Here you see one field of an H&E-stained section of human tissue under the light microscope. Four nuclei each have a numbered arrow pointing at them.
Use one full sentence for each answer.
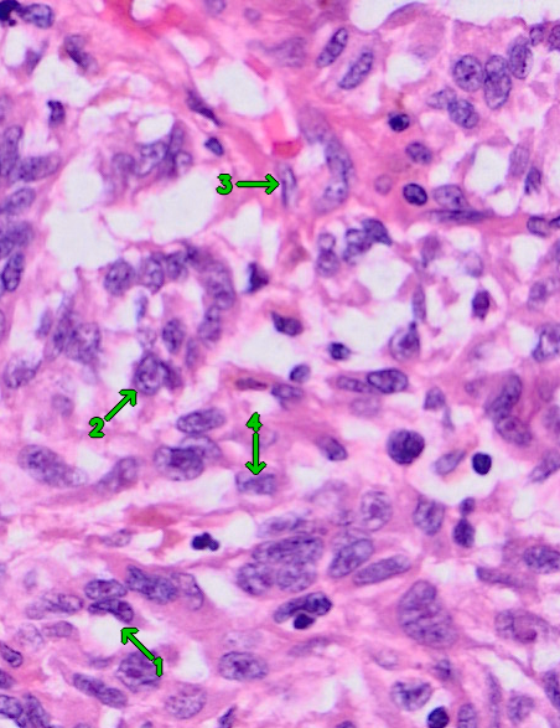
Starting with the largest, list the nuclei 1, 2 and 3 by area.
From largest to smallest, the order is 2, 1, 3.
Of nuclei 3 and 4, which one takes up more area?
Nucleus 4 covers more area, about 2 times as much as nucleus 3.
